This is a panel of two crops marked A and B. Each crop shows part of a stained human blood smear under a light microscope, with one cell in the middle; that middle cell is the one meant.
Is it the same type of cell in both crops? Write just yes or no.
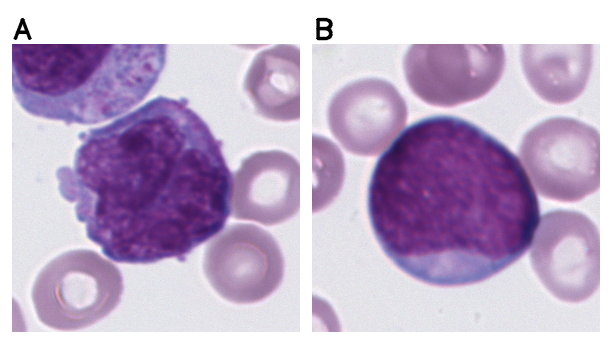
no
